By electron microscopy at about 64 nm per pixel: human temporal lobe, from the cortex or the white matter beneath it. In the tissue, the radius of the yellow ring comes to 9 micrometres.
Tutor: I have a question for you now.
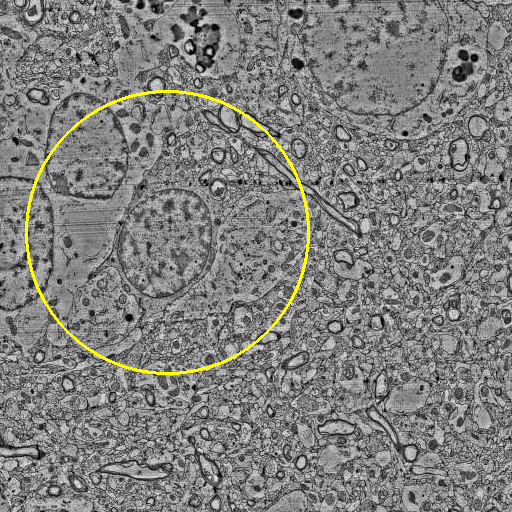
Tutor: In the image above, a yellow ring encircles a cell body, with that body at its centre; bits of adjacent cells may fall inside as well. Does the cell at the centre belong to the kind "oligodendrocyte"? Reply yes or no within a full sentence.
Yes, the cell at the centre of the yellow ring in the picture is of that kind.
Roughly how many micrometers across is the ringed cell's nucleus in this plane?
In this plane, the nucleus is roughly 7 by 5 micrometres.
